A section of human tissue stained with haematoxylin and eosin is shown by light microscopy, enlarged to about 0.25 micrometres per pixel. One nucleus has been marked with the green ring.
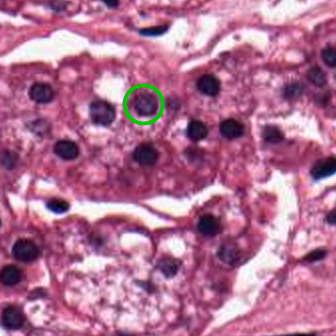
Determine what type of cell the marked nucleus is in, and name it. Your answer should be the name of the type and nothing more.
adrenal cortical cell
